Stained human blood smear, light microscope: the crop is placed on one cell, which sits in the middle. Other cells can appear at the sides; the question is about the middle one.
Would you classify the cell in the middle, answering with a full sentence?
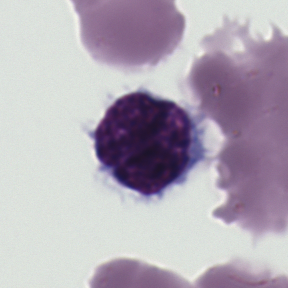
Centred in the crop is a hairy cell.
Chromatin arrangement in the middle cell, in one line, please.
Its nuclear chromatin is gathered into coarse clumps.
